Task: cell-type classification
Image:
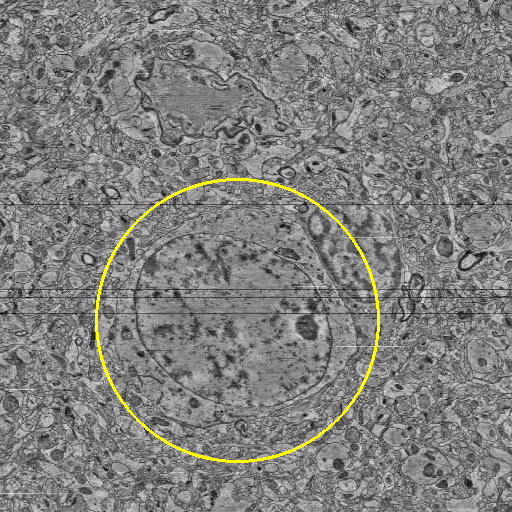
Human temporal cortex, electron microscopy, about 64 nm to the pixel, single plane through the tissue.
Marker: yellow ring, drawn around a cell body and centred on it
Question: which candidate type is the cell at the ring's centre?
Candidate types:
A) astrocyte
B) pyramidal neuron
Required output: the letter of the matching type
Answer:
B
